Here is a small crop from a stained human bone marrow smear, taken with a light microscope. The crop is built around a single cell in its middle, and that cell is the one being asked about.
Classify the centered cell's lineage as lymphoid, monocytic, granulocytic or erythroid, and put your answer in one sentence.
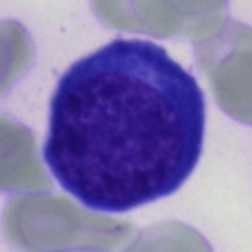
Originating in the erythroid lineage is the cell at the center of the crop.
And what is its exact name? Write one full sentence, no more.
In the central position of this crop, the cell is a proerythroblast.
